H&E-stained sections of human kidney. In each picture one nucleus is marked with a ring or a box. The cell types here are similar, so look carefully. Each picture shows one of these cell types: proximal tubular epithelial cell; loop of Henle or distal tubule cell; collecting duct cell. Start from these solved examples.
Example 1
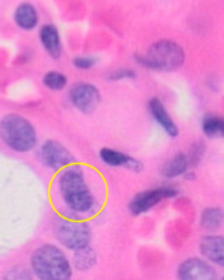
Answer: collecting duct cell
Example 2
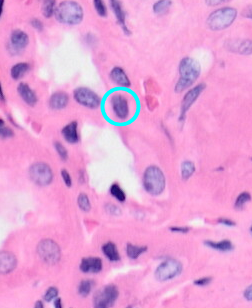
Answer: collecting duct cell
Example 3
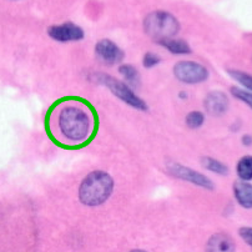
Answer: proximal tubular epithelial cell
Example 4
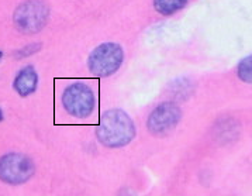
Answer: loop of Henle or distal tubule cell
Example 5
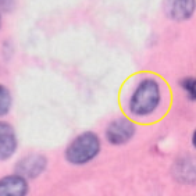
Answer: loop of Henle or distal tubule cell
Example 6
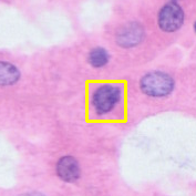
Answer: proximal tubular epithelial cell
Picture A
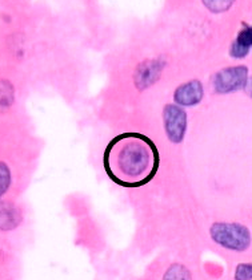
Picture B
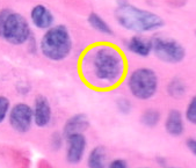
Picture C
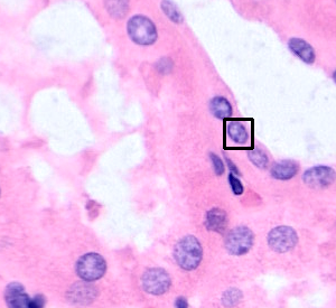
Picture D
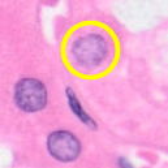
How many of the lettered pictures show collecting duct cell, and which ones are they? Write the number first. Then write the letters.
Count: 2 (B, C)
